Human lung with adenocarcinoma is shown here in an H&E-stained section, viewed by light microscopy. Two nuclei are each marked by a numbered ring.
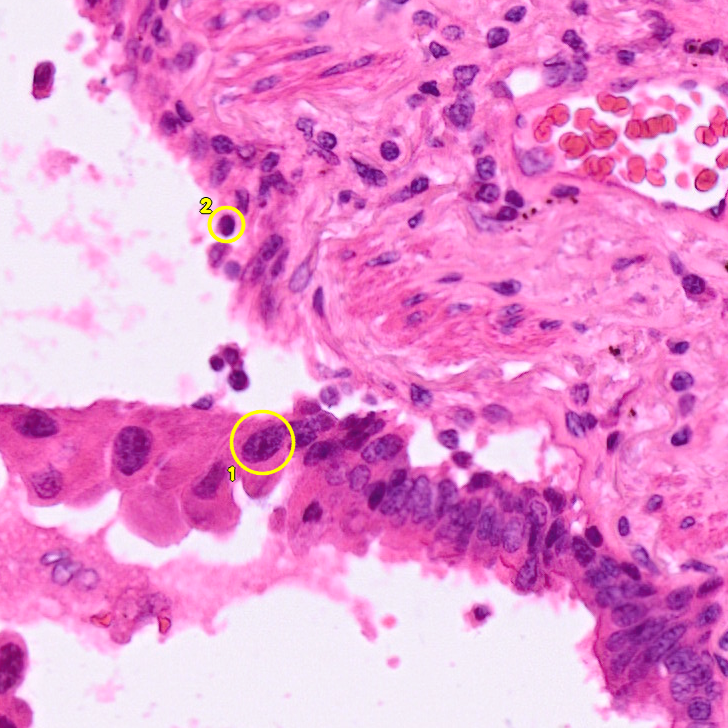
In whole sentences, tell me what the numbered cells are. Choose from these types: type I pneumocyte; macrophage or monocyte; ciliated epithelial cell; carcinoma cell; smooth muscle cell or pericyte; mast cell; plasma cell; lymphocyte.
Cell 1 is a carcinoma cell. Cell 2 is a lymphocyte.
